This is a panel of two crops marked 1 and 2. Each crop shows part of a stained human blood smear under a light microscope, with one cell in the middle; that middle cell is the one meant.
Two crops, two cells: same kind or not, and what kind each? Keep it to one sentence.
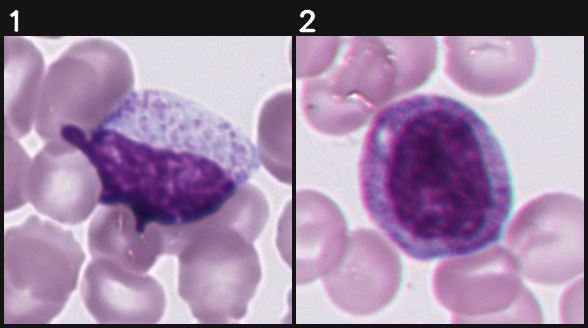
Yes, the reply for both crops is myelocytes.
